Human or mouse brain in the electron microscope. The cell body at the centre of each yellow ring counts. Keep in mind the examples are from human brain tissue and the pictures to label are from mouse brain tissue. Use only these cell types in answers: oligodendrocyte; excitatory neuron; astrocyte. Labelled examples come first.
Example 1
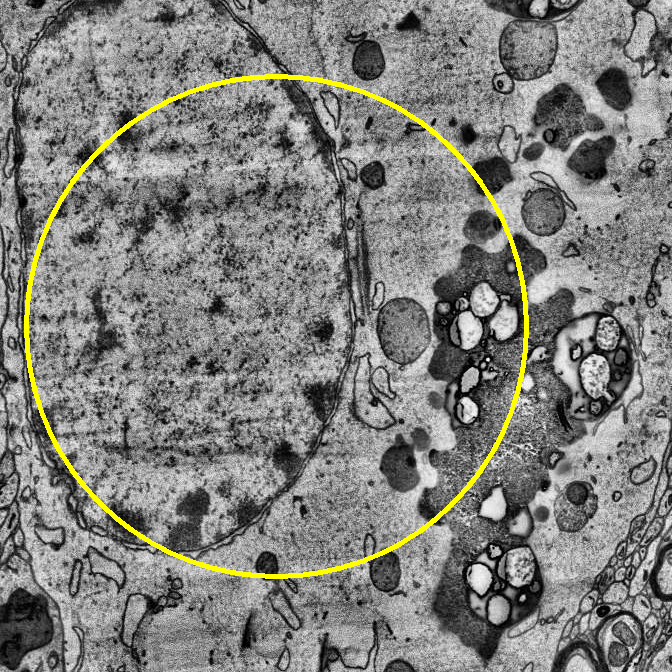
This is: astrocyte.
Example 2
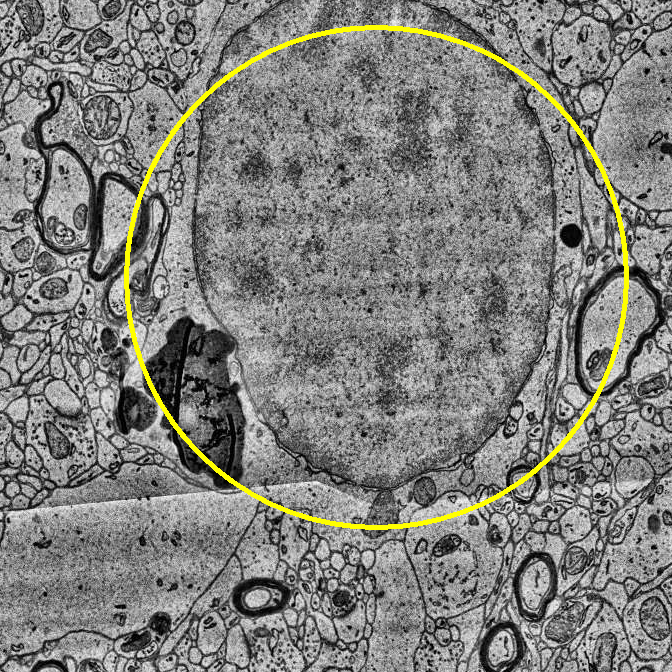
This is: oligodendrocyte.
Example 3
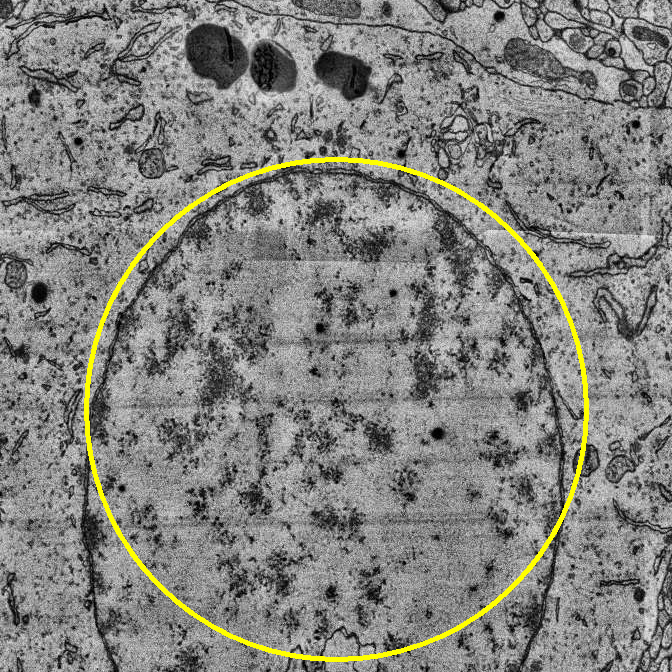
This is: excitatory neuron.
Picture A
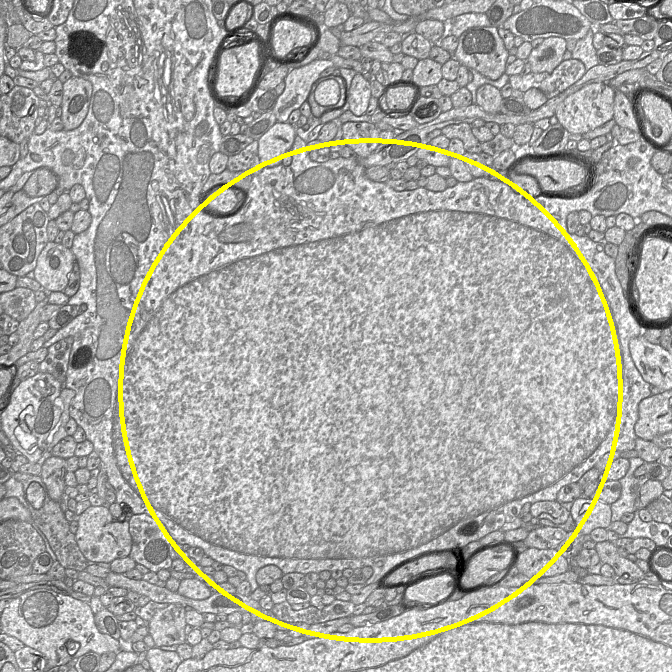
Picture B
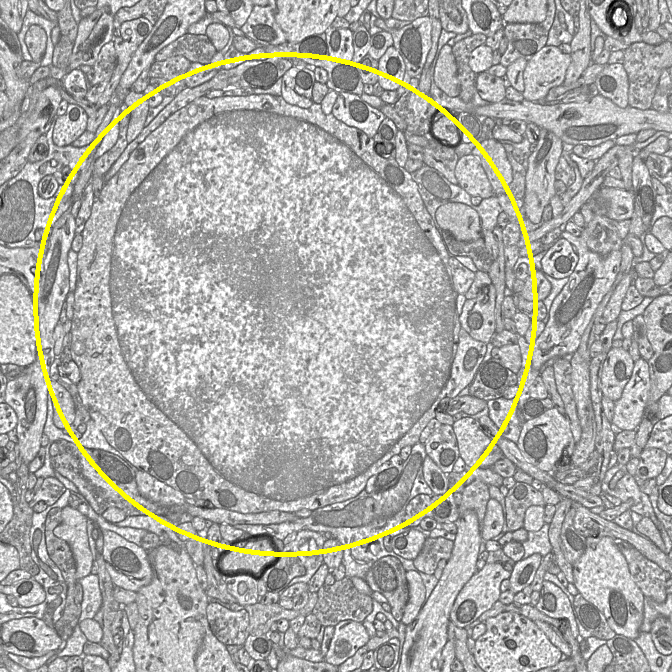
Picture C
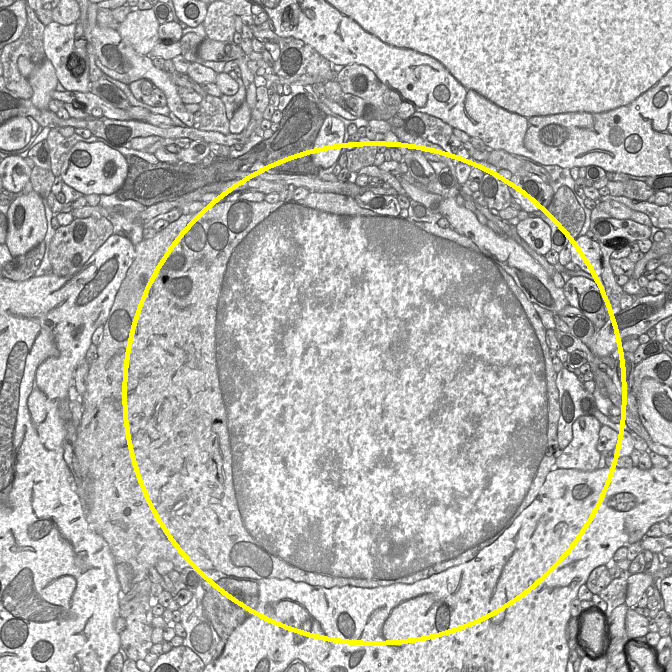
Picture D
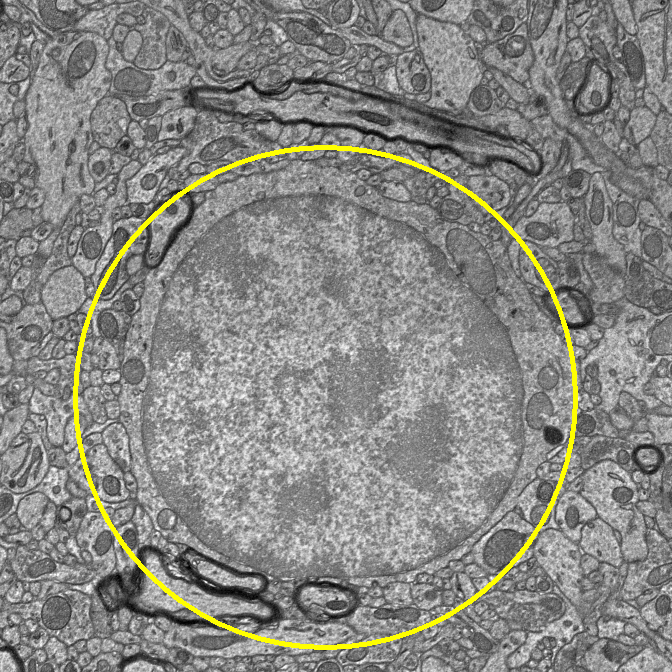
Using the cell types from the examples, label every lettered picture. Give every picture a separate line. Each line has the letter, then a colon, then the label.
A: astrocyte.
B: oligodendrocyte.
C: oligodendrocyte.
D: oligodendrocyte.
